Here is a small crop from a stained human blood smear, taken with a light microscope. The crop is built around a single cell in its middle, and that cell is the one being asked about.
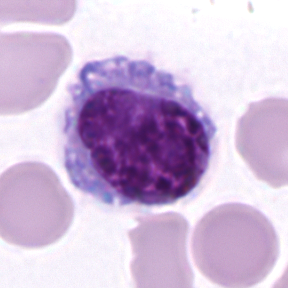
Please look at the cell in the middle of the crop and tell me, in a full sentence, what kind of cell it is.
At the middle of the frame sits a plasma cell.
